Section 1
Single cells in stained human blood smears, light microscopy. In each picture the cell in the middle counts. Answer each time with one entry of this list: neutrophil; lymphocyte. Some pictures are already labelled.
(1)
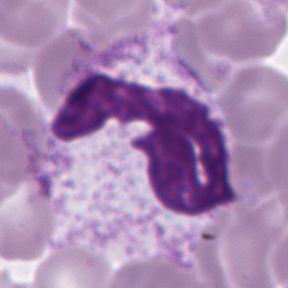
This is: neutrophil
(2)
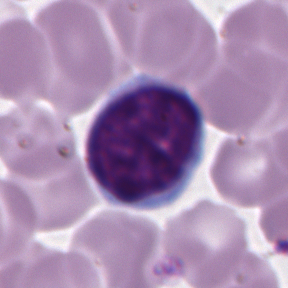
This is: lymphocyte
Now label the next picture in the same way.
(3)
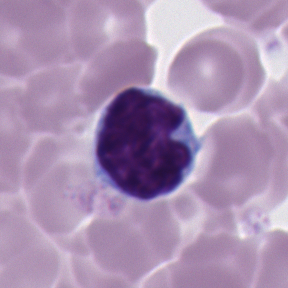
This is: lymphocyte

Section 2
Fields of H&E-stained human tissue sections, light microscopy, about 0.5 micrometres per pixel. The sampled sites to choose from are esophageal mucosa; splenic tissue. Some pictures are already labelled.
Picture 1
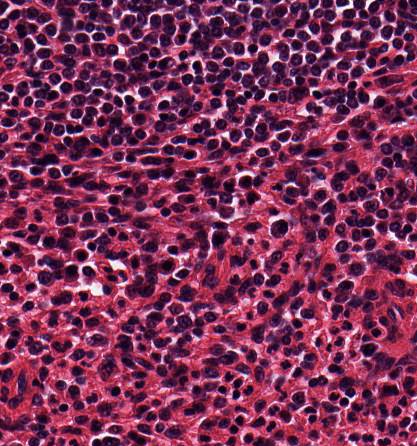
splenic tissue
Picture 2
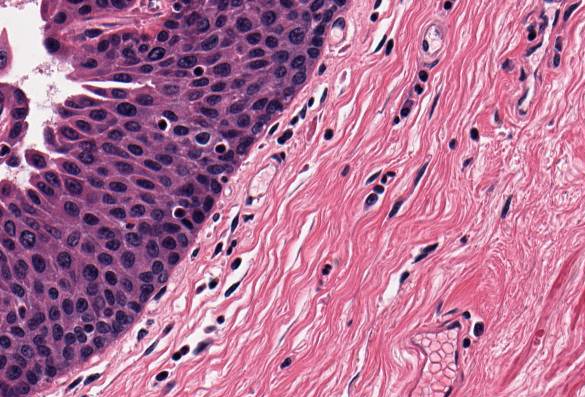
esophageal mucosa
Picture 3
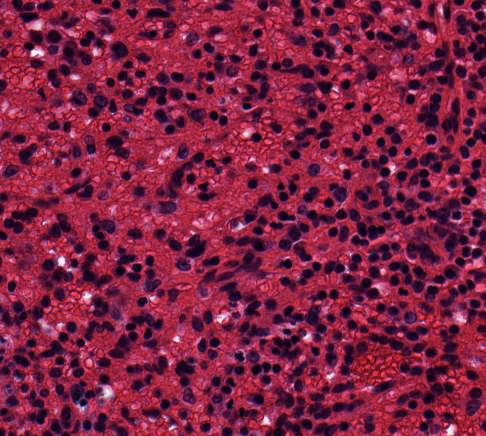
splenic tissue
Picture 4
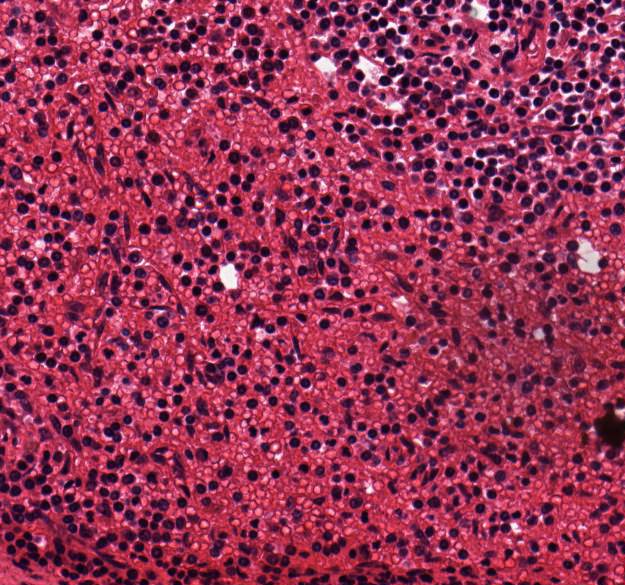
splenic tissue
